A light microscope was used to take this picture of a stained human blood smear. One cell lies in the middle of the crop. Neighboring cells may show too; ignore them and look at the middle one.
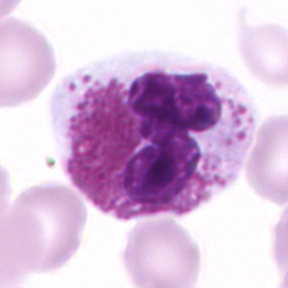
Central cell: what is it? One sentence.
Classified as an eosinophil is the cell in the middle of this crop.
